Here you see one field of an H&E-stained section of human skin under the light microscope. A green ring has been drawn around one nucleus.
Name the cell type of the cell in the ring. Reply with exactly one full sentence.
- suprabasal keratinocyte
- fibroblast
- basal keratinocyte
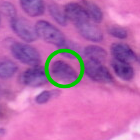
At the level of cell identity, the cell in the ring is a basal keratinocyte.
